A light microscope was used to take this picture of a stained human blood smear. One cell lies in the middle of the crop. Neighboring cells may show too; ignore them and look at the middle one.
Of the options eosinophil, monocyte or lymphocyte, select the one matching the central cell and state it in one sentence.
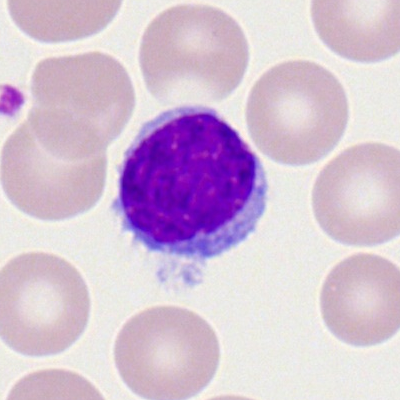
The centered cell in this crop is a lymphocyte.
